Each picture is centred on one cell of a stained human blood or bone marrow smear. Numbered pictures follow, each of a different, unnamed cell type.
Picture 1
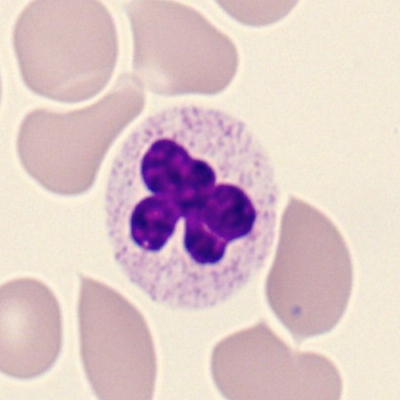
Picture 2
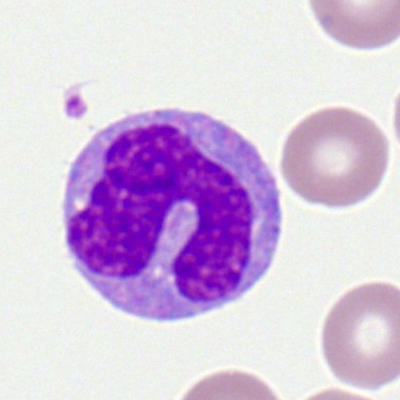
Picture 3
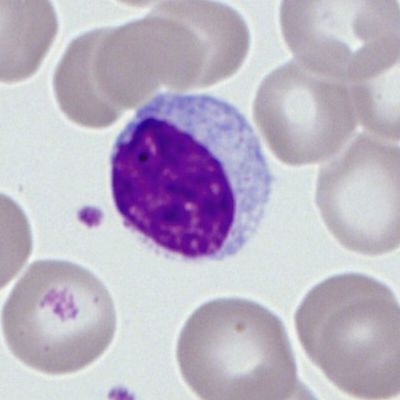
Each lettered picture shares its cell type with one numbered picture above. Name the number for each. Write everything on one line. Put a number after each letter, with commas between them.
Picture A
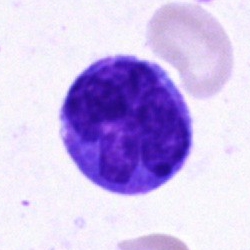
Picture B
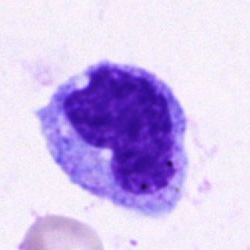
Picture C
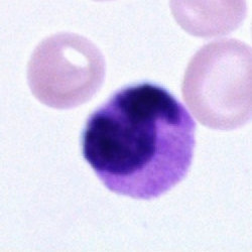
A 2, B 2, C 1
